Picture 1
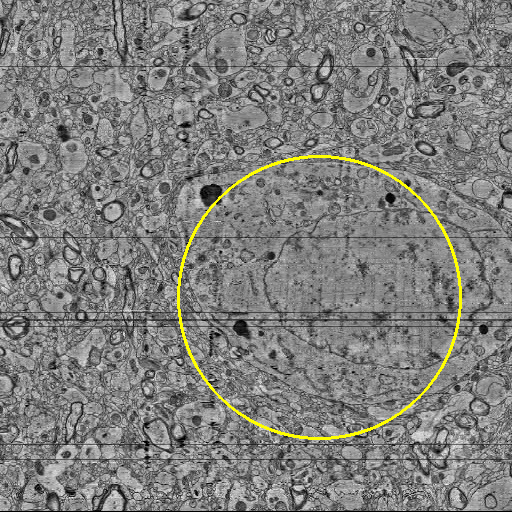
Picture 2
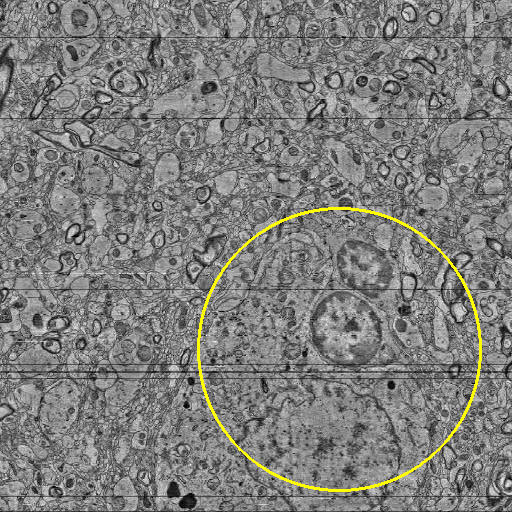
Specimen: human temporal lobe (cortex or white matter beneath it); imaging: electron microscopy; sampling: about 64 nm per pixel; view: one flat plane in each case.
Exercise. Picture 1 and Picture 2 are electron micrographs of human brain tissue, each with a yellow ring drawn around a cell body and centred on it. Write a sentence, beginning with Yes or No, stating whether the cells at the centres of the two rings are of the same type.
No, the cells at the centres of the rings are of two types.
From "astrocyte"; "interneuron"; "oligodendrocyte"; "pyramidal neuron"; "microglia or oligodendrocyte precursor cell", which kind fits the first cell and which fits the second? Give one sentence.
The cell marked in the first picture is a pyramidal neuron, and the one marked in the second is an oligodendrocyte.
